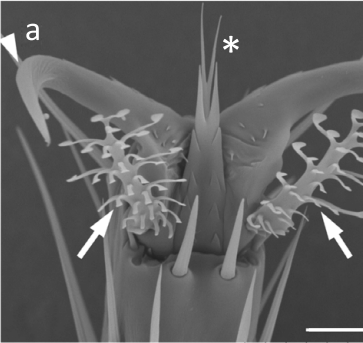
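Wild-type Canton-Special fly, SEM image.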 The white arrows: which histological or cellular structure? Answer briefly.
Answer: Footpads.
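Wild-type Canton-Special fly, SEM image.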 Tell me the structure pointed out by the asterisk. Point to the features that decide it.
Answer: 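Empodium. The asterisk marks a single central bristle-like process between the two hooks. It is median and unpaired, with tapering spiny tips.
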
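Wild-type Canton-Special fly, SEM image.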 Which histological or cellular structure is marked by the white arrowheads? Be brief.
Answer: Claws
